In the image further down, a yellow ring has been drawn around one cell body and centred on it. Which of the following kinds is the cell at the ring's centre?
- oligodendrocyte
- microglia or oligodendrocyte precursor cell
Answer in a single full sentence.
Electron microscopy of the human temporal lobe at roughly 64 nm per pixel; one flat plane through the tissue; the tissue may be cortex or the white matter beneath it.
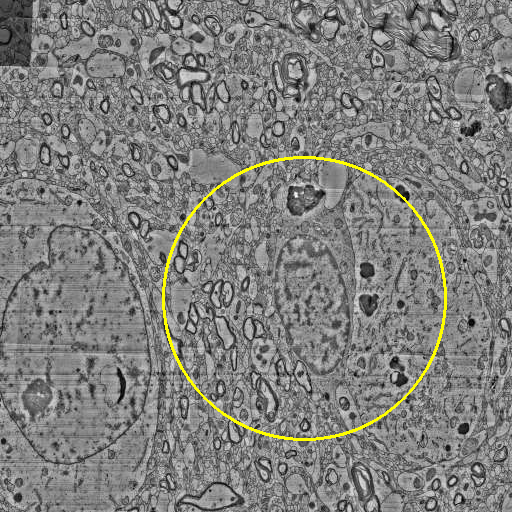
In the picture, the cell sitting at the centre of the yellow ring is an oligodendrocyte.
